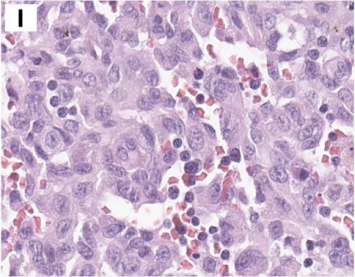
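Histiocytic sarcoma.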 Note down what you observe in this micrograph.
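Sheets of large pleomorphic tumor cells with abundant pink cytoplasm. Nuclei are large, vesicular, variable in shape, with conspicuous nucleoli. Red blood cells lie in spaces between the tumor cells.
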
